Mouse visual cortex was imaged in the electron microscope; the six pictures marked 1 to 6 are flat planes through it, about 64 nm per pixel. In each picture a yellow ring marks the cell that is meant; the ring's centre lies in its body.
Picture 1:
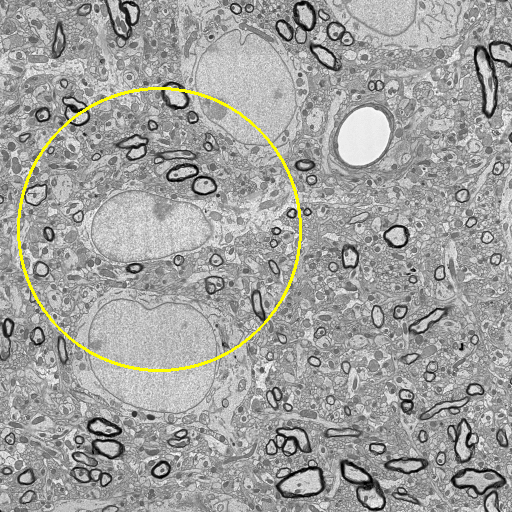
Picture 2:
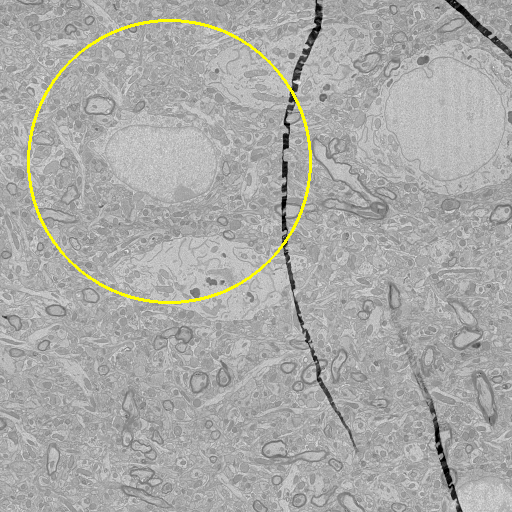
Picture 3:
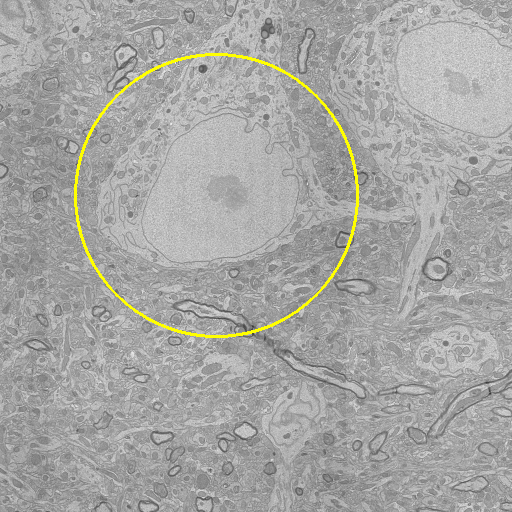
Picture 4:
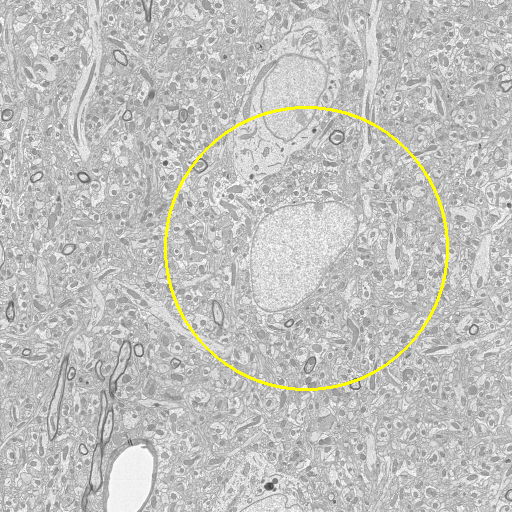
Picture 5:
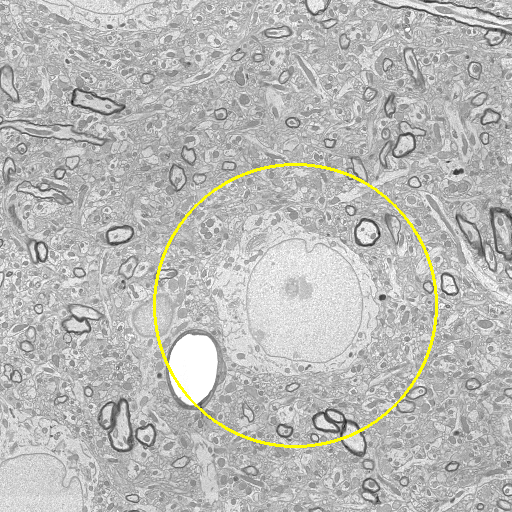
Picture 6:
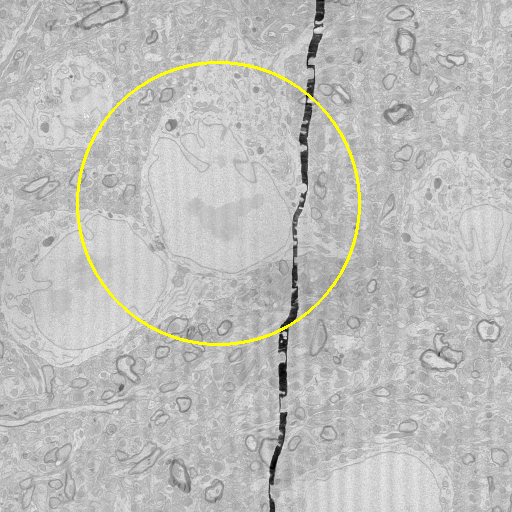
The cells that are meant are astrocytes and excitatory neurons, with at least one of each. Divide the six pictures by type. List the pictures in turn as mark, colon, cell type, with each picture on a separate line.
1: astrocyte
2: astrocyte
3: excitatory neuron
4: astrocyte
5: excitatory neuron
6: excitatory neuron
